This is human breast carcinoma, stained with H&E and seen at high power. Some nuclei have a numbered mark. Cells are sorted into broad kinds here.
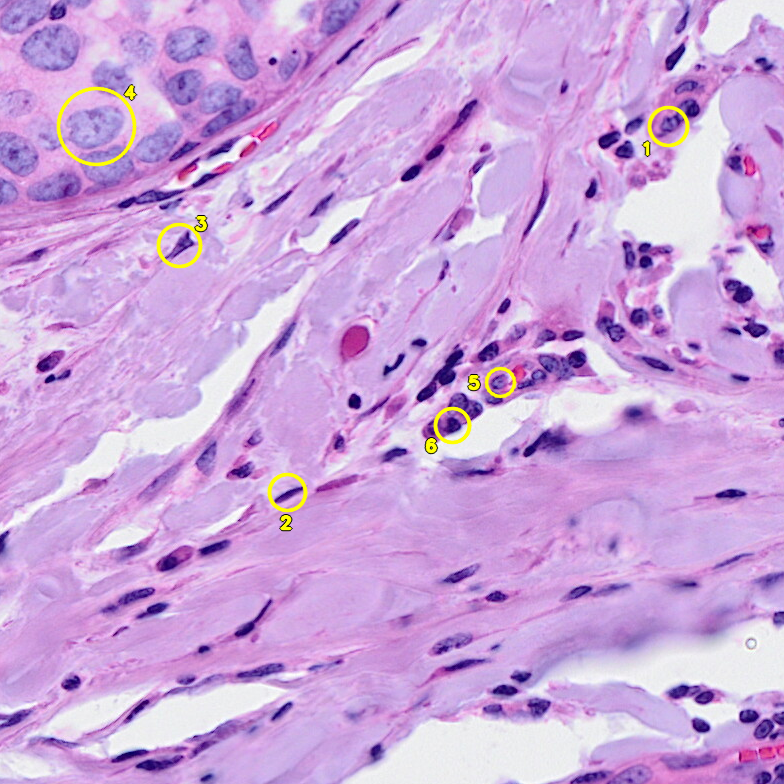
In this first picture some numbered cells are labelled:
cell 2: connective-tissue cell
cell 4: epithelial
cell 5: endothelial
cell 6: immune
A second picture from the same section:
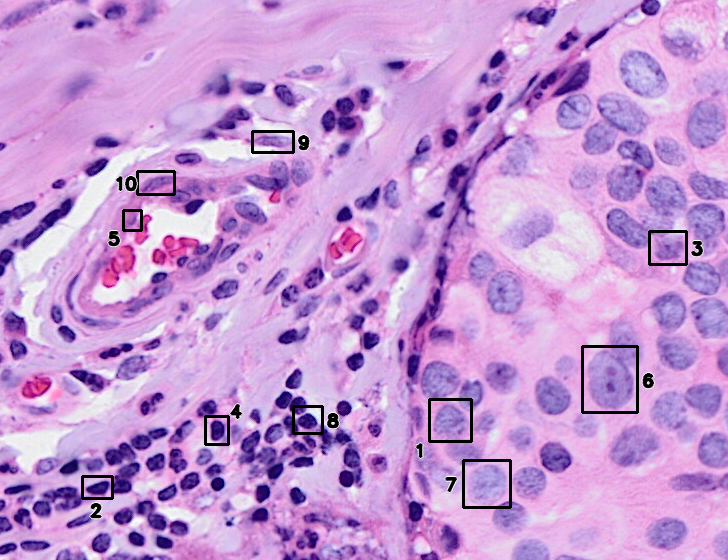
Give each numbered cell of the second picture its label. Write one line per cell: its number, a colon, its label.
1: epithelial
2: immune
3: epithelial
4: immune
5: endothelial
6: epithelial
7: epithelial
8: immune
9: connective-tissue cell
10: endothelial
